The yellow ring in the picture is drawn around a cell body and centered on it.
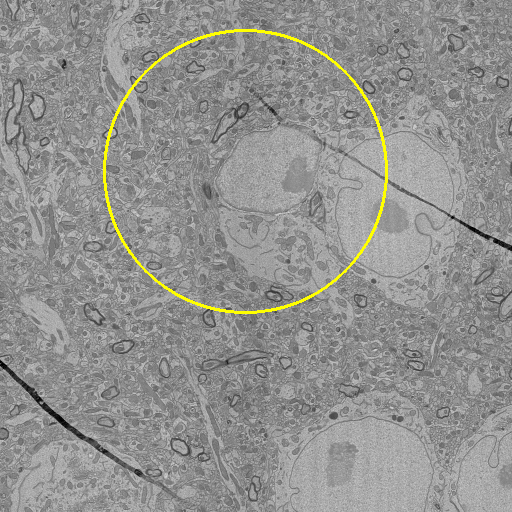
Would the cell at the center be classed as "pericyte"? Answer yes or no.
No, it belongs to another class.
